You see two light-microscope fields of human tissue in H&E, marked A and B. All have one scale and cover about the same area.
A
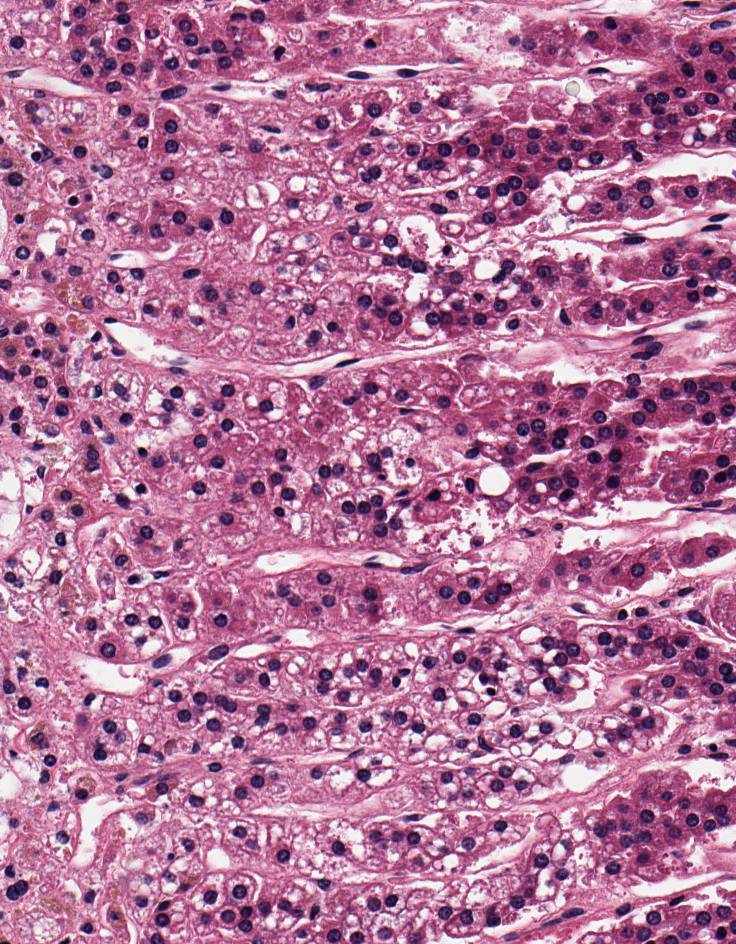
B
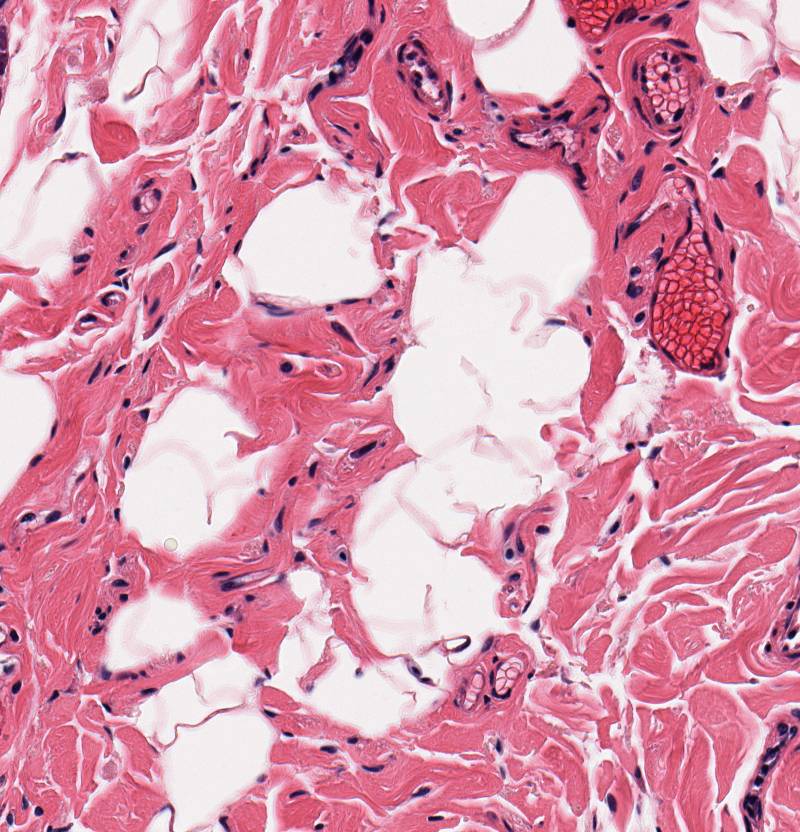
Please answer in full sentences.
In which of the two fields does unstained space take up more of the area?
Unstained space takes up more of field B than of field A.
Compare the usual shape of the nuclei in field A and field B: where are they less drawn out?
On the whole the nuclei of field A are rounder than those of field B.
